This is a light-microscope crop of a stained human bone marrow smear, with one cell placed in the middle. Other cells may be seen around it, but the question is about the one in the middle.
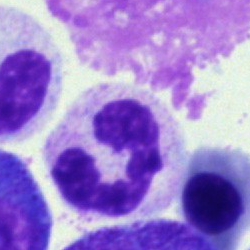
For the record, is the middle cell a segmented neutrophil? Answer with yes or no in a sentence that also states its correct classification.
Yes, the cell centred in the field of view is a segmented neutrophil.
